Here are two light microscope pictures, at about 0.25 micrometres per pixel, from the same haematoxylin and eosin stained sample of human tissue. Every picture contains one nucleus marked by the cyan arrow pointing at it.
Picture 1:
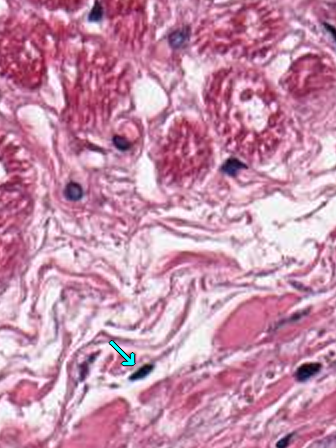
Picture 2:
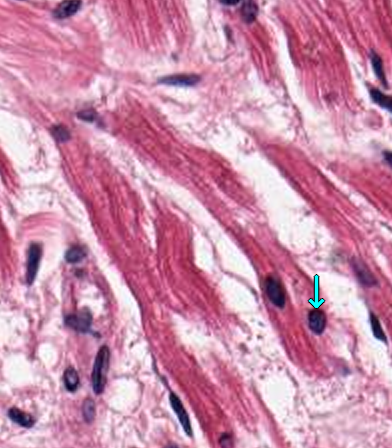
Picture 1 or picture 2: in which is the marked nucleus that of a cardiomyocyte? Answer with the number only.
2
